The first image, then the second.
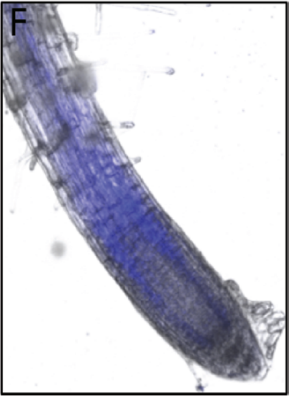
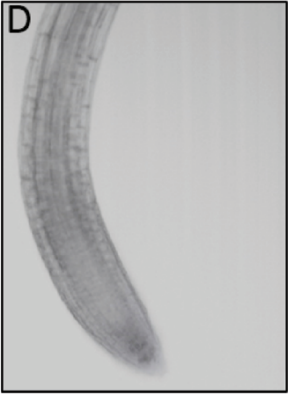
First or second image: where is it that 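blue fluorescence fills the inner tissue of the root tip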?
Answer: The first image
